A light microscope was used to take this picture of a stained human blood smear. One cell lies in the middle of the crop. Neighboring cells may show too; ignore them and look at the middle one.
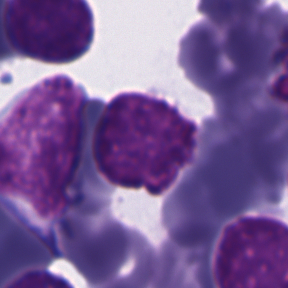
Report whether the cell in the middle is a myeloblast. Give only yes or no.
no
